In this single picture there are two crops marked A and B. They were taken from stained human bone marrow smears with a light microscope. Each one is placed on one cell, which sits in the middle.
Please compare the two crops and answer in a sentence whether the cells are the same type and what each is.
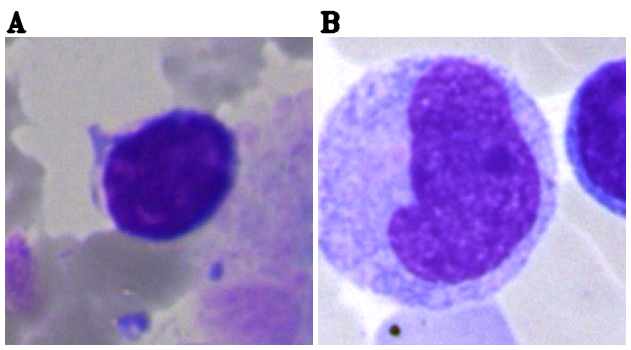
No, crop A depicts a lymphocyte; crop B depicts a monocyte.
